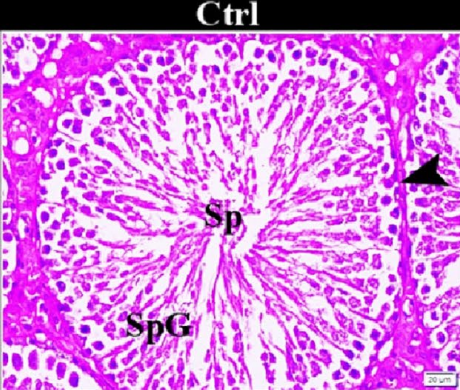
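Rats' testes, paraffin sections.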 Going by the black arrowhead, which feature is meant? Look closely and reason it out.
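The arrowhead points at the thin, strongly magenta line bounding the tubule. The line runs continuously along the outer edge of the cell layers.
Conclusion: basement membrane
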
